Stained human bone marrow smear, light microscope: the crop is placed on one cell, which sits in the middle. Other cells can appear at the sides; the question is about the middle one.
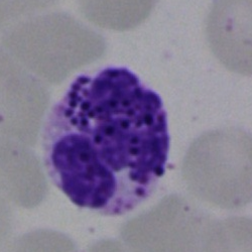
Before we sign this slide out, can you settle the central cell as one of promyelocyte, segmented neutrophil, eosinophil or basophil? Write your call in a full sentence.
The identification for the central cell is a basophil.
